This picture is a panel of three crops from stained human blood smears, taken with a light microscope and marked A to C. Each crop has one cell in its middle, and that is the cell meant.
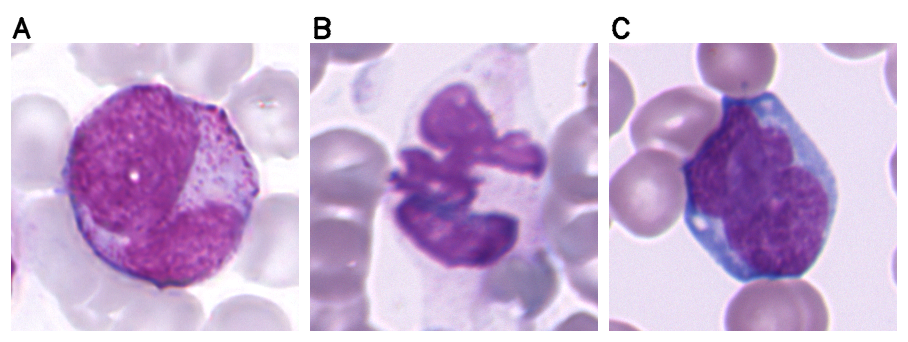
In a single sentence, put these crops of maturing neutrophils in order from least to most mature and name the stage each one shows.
From least to most mature, the cells come in the order crop C (a myeloblast), crop A (a promyelocyte) and crop B (a segmented neutrophil).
